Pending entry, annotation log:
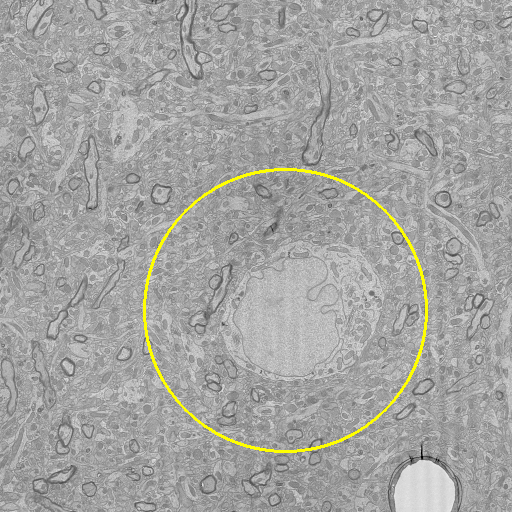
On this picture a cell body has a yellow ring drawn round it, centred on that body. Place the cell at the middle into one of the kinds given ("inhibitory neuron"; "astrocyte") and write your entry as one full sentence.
The cell body at the middle of the yellow ring belongs to an inhibitory neuron.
